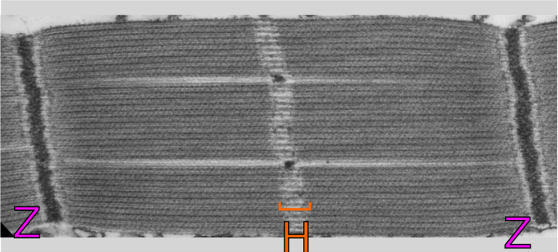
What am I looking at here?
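Longitudinal section through one sarcomere of a myofibril. Straight, evenly spaced filaments run lengthwise between two dark transverse bands at the left and right ends, each slightly ragged. A pale central band crosses the sarcomere under an orange bracket; within it lie scattered small dark specks of dense material. Thin pale longitudinal clefts split the myofibril into bundles. Overall arrangement is regular, with only mild irregularity.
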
